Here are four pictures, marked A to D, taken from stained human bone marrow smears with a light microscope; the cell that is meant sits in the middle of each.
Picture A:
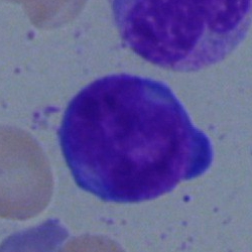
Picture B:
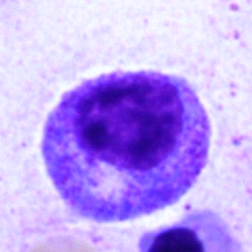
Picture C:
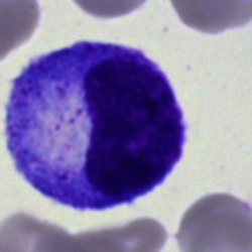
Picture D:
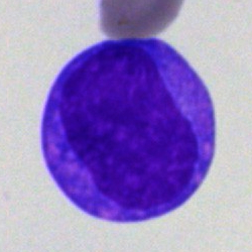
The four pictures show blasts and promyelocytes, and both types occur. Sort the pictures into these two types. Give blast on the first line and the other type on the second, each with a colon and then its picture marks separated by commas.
blast: A, D
promyelocyte: B, C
